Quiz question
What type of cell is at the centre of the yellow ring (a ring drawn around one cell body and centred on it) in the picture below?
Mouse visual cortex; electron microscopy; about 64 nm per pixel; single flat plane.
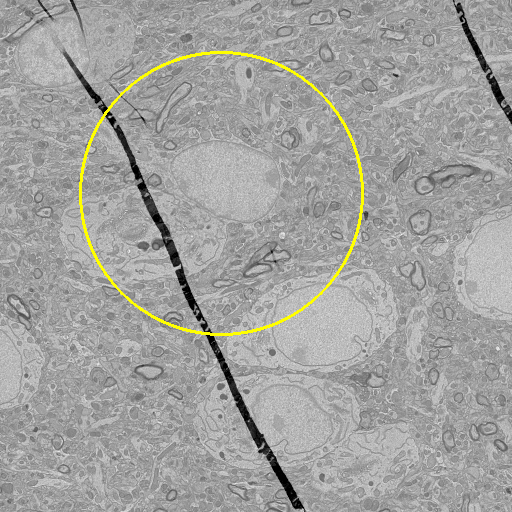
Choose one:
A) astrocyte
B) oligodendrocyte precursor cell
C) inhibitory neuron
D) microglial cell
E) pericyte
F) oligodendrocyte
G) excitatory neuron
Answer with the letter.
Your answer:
A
